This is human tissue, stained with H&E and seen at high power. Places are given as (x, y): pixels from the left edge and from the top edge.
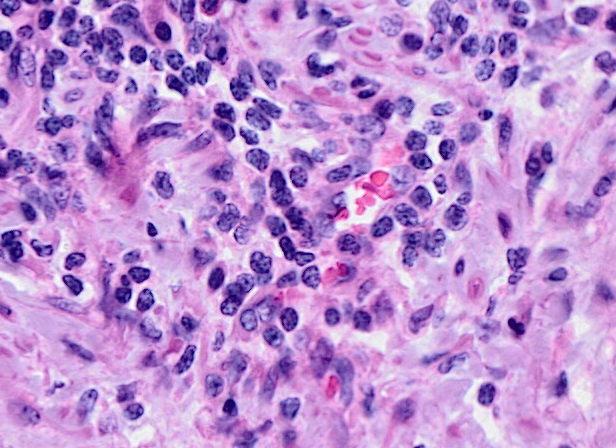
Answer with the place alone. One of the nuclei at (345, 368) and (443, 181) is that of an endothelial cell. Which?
(345, 368)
